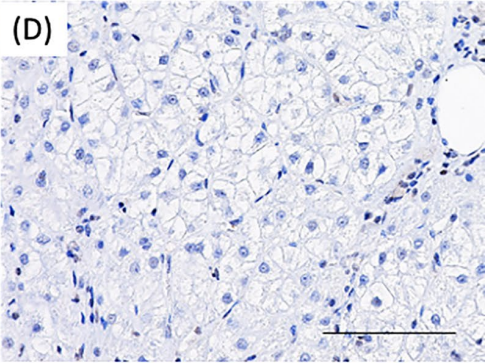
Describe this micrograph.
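This is liver parenchyma made of hepatocytes, with a round vessel lumen at the upper right. The hepatocytes are polygonal cells with sharp outlines, pale, almost clear cytoplasm and round central blue nuclei, several with a distinct nucleolus. The cells are packed in a mosaic with thin sinusoidal gaps between them. Only a few small dark cells lie near the vessel and between the plates, some faintly brown. Overall the field shows very little brown staining.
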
